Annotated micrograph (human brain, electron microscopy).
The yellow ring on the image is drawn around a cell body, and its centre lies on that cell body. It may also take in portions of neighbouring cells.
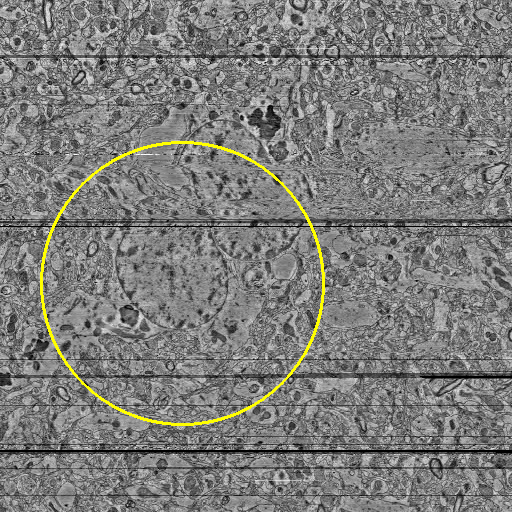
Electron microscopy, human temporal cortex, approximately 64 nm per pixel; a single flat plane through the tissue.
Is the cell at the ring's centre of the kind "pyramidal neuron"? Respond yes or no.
No, it is of another kind.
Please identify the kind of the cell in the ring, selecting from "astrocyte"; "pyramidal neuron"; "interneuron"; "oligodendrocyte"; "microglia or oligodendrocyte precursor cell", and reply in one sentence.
Instead, the ring surrounds an astrocyte in this picture.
